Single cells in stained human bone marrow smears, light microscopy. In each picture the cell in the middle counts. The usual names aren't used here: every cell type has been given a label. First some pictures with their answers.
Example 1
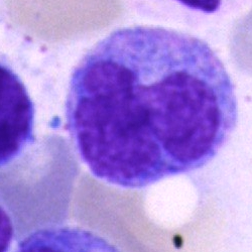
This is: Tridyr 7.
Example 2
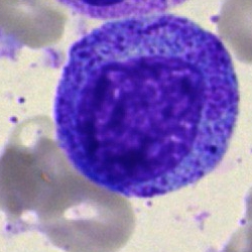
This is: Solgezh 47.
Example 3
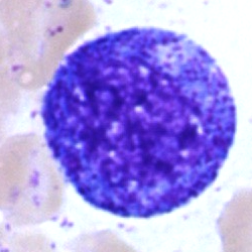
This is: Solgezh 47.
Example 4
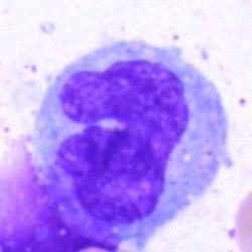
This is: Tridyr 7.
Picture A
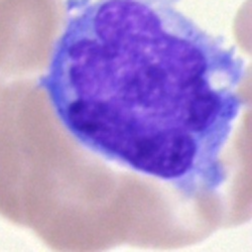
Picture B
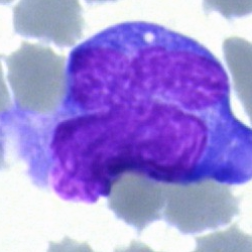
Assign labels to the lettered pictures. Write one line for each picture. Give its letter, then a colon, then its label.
A: Tridyr 7.
B: Tridyr 7.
